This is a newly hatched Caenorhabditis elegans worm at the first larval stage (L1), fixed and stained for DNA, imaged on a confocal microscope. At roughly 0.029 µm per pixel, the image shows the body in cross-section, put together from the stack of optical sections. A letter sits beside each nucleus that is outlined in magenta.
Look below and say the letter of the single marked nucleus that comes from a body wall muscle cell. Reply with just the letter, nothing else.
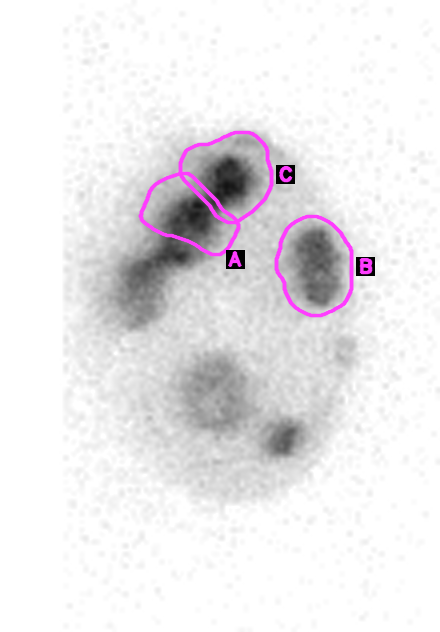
A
